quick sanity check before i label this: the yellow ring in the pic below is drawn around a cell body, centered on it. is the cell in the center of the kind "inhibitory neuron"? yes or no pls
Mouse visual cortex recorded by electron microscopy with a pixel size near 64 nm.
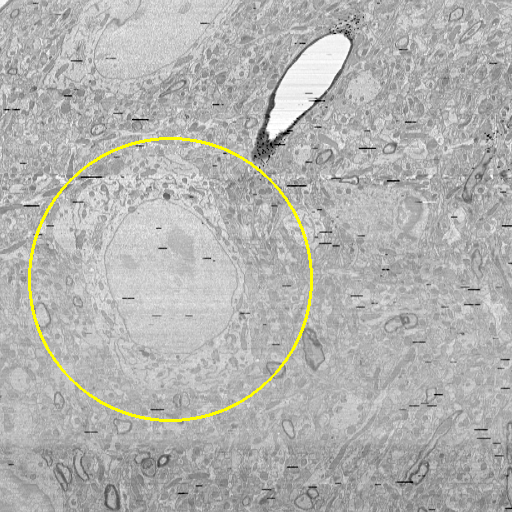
yes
